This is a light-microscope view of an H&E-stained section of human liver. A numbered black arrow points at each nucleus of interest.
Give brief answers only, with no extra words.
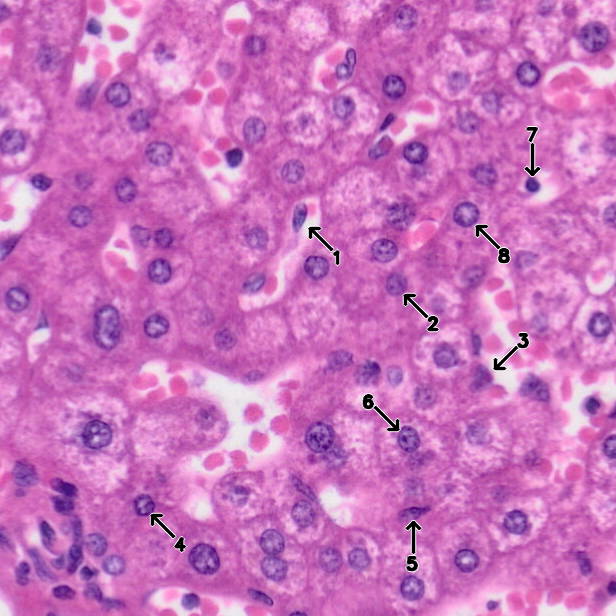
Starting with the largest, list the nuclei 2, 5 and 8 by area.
8, 2, 5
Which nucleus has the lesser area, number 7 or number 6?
7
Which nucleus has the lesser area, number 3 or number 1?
1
